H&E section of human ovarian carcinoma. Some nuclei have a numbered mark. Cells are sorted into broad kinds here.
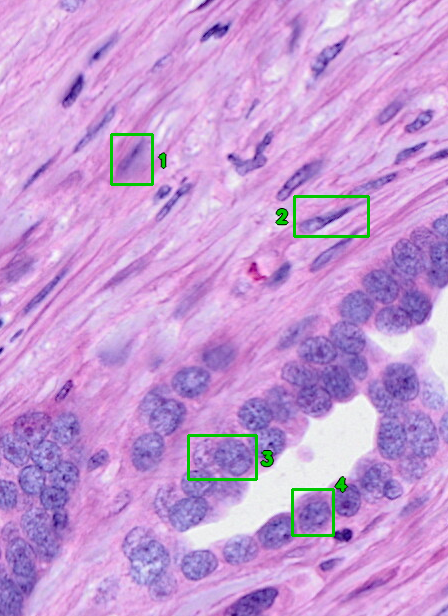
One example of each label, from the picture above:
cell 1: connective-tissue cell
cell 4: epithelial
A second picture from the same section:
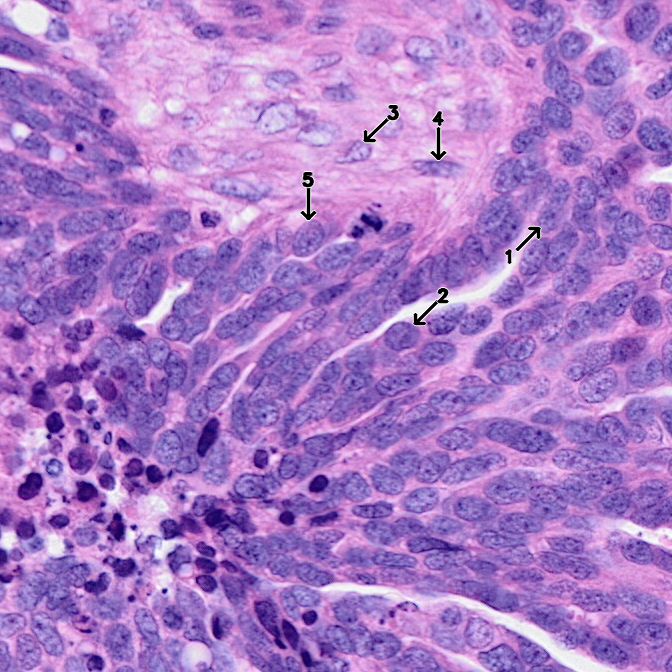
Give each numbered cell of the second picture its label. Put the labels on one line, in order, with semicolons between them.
epithelial; epithelial; connective-tissue cell; connective-tissue cell; epithelial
